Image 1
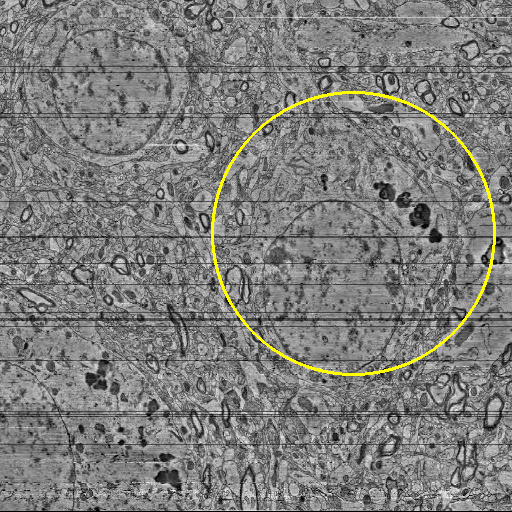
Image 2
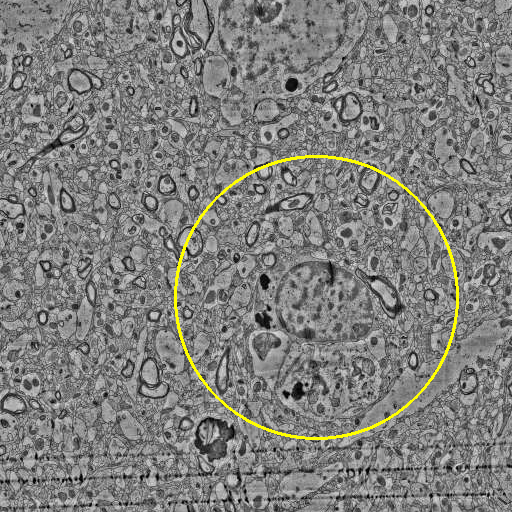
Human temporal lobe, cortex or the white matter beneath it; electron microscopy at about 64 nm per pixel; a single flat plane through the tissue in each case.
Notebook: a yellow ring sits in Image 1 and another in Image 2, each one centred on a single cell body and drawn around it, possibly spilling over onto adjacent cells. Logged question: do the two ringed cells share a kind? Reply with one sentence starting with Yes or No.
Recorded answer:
No, the centre cells inside the rings of Image 1 and Image 2 are of two kinds.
